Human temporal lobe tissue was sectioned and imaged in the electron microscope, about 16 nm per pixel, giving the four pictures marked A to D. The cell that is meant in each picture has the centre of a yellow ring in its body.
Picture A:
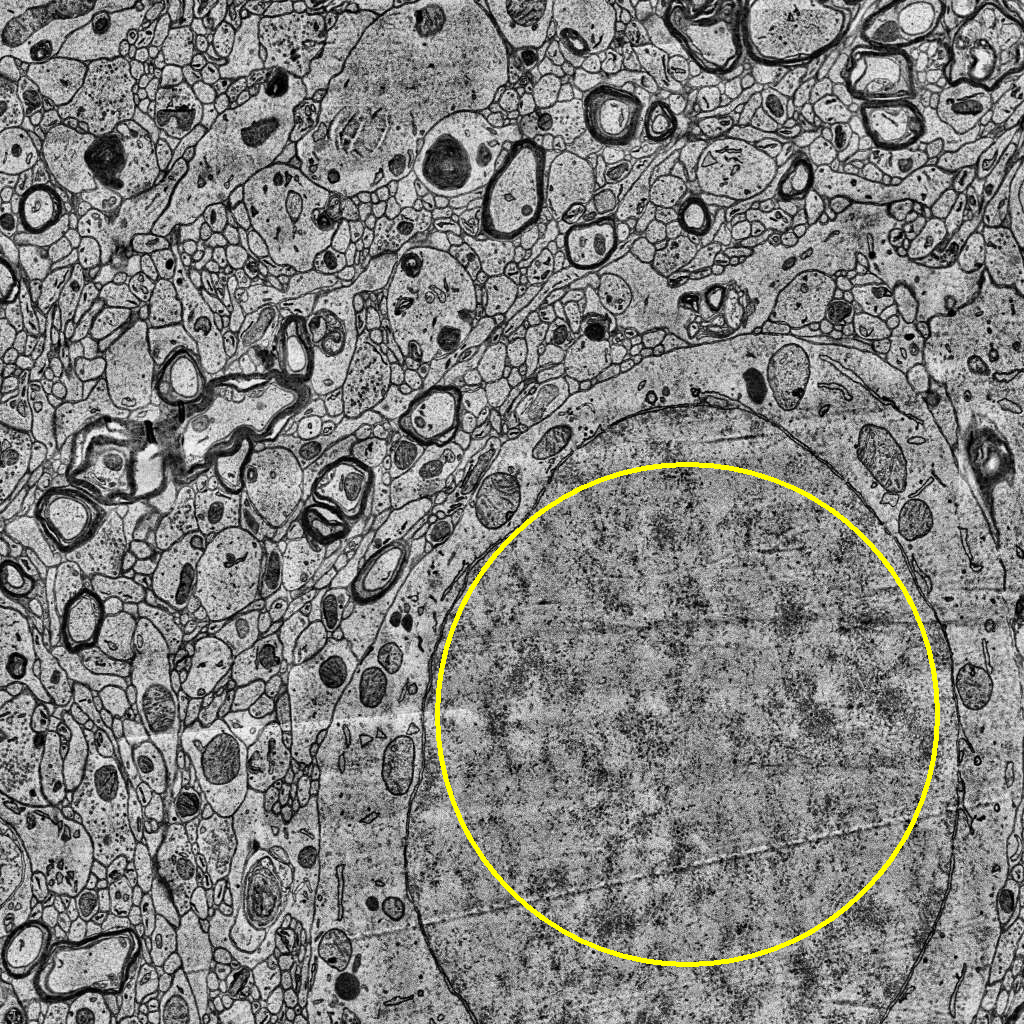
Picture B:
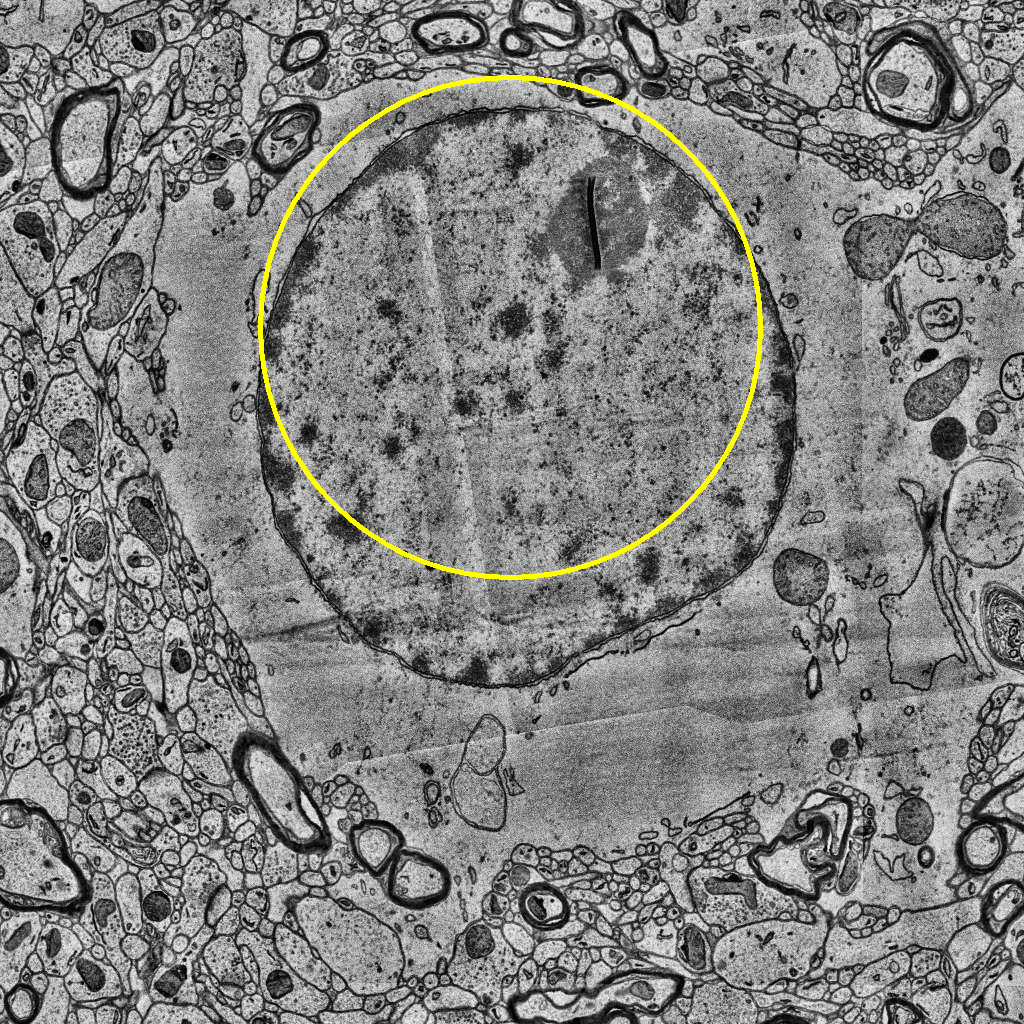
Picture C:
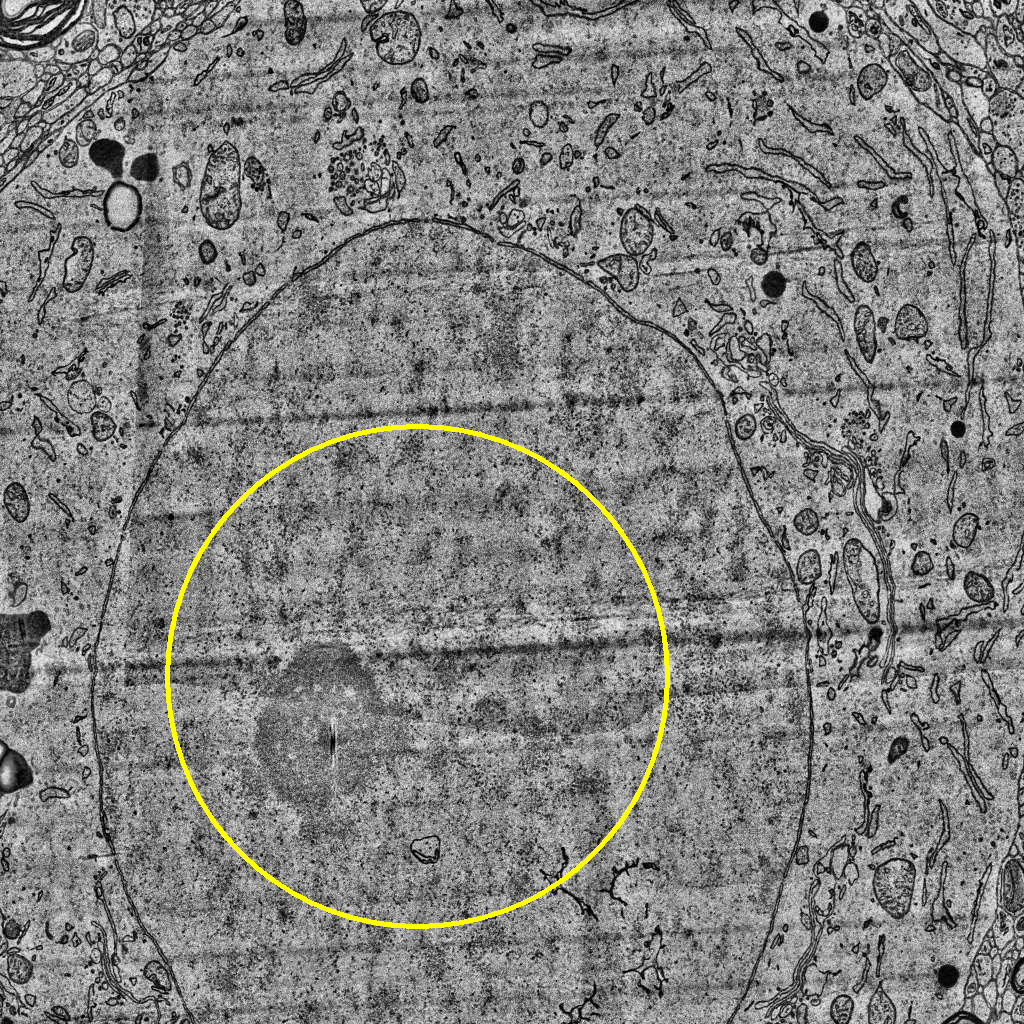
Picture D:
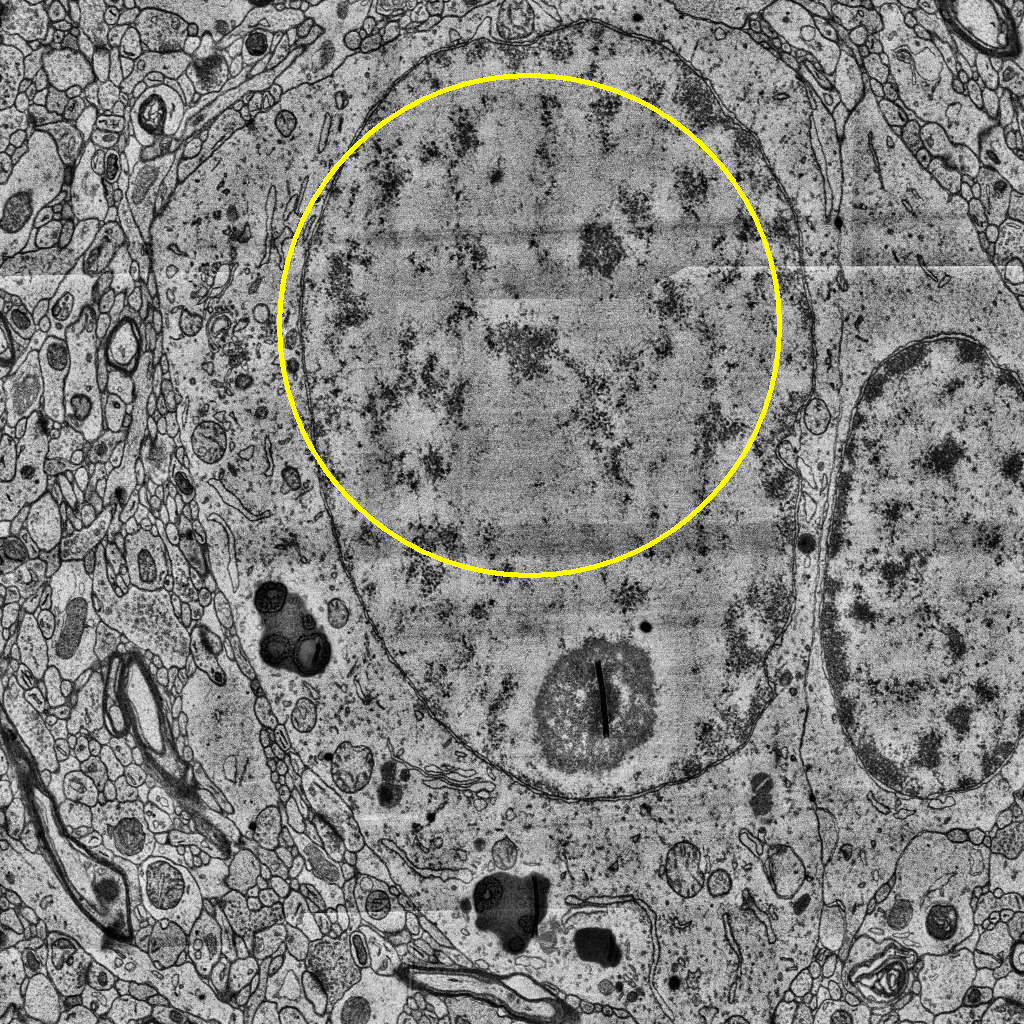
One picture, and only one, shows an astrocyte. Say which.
The astrocyte is the one in picture B.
